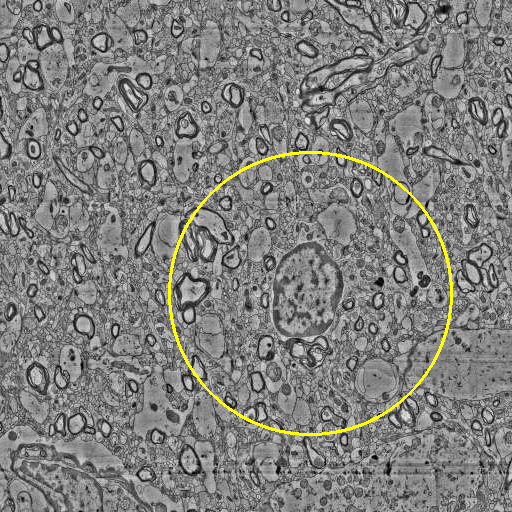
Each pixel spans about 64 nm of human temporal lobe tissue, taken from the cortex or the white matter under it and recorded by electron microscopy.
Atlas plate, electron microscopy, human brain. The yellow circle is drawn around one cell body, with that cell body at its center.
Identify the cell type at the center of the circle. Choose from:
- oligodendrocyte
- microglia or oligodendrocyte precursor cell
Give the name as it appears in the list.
microglia or oligodendrocyte precursor cell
